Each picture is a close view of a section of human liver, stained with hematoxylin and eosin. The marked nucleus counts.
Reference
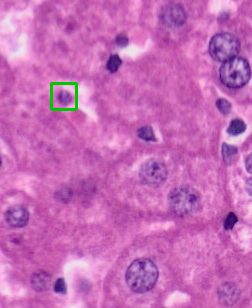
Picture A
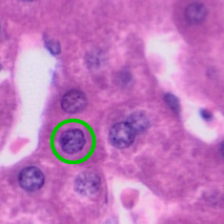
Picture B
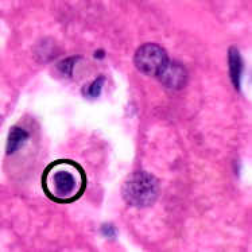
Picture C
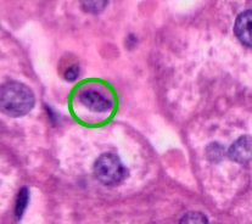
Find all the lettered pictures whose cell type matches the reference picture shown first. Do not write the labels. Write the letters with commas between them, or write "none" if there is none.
B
